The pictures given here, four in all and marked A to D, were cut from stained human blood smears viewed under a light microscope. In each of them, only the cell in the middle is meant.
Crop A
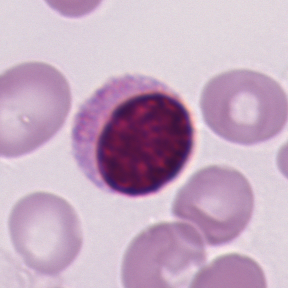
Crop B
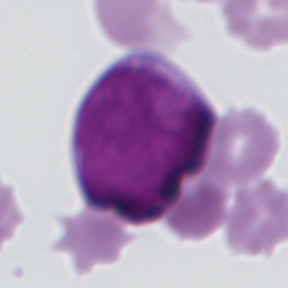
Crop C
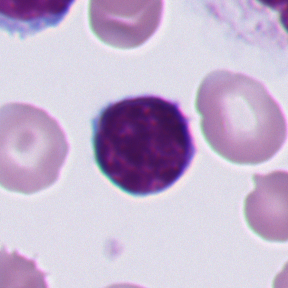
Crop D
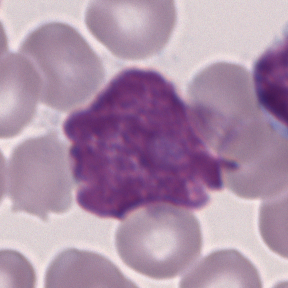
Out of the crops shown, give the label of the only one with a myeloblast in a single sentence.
Of the crops given, a myeloblast is found in crop B.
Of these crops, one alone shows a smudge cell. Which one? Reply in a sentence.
Crop D alone, of all the crops, shows a smudge cell.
